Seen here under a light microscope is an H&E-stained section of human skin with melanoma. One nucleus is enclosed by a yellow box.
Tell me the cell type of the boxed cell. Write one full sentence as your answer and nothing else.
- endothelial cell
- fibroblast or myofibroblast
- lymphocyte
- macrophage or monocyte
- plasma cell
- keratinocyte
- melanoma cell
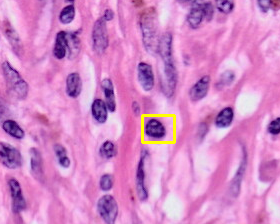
The identity of the boxed cell: it is a plasma cell.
